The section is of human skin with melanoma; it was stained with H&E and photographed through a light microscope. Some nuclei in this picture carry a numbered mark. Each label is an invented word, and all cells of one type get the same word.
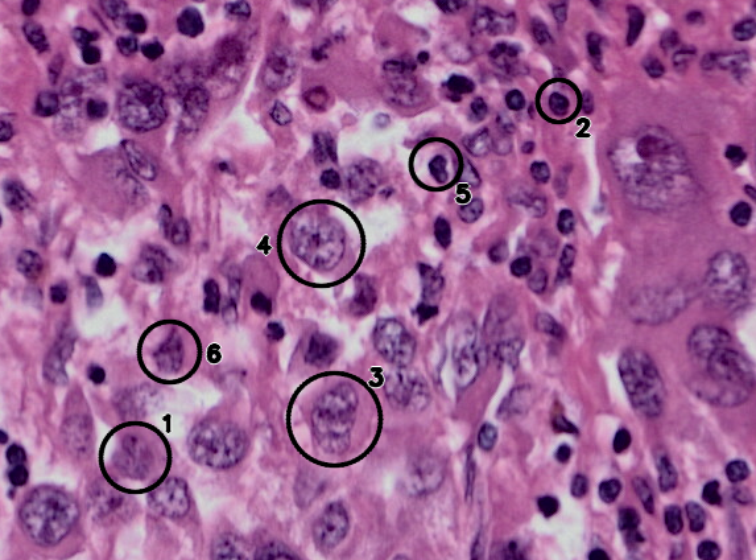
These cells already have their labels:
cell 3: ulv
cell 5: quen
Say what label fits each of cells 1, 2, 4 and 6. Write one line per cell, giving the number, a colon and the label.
1: ulv
2: quen
4: ulv
6: ulv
